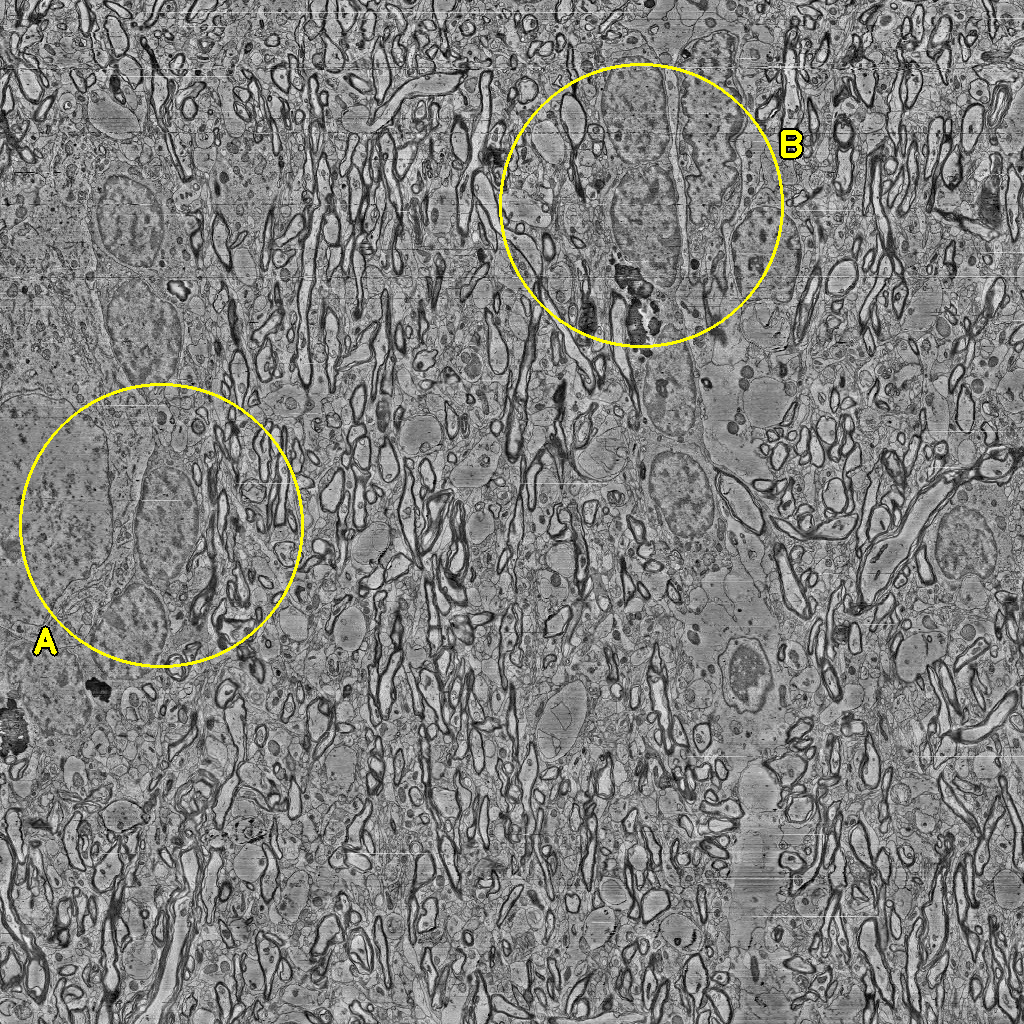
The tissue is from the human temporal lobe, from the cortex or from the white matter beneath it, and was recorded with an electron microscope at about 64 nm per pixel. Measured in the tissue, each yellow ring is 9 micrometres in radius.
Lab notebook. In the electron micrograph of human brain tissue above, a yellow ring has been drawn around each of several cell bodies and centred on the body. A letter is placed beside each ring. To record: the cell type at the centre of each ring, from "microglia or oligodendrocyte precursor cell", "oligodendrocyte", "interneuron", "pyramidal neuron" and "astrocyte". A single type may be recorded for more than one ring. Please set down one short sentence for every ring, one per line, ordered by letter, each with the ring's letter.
The centre of ring A is occupied by an oligodendrocyte.
The centre of ring B is occupied by an oligodendrocyte.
